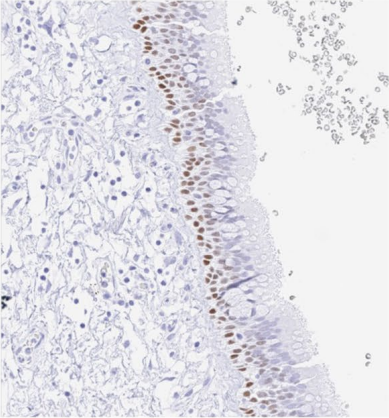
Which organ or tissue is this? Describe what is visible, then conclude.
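Respiratory epithelium. Tall pseudostratified epithelium with a fringed luminal surface. Loose connective tissue beneath the epithelium.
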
